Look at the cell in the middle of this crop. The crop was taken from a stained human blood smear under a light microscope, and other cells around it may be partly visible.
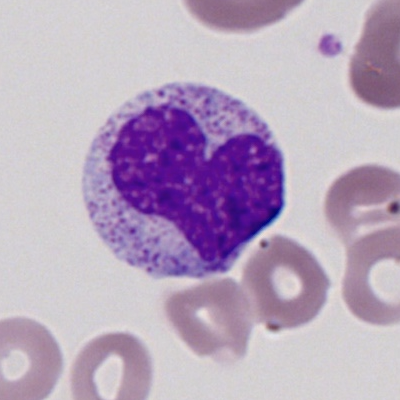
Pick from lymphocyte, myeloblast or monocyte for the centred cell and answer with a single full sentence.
As for the cell in the middle, it is a monocyte.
